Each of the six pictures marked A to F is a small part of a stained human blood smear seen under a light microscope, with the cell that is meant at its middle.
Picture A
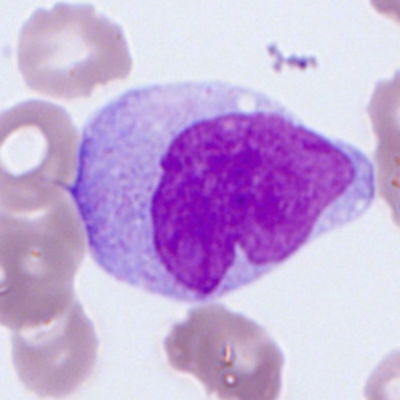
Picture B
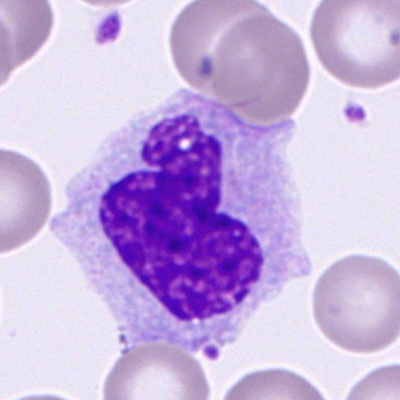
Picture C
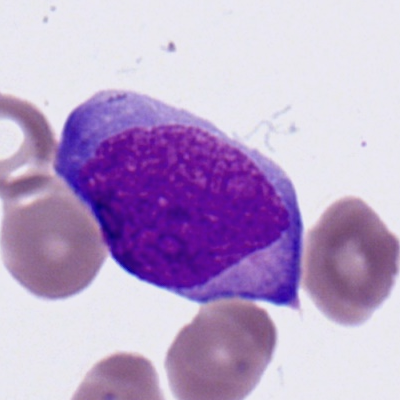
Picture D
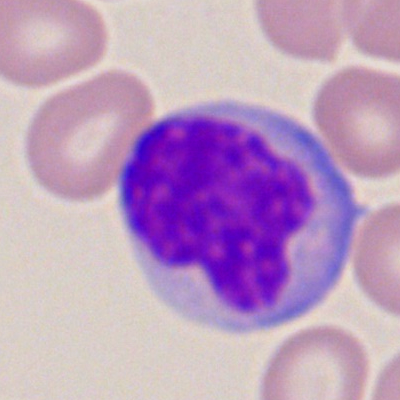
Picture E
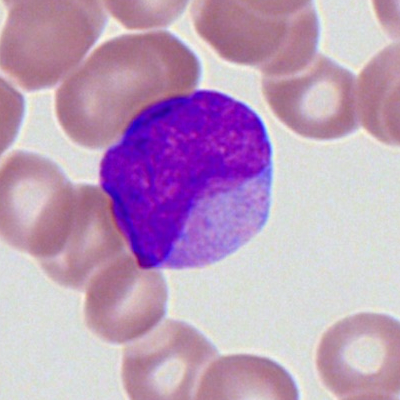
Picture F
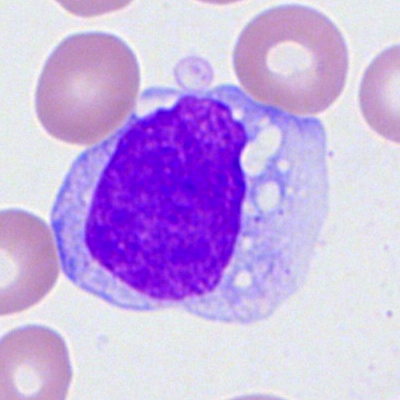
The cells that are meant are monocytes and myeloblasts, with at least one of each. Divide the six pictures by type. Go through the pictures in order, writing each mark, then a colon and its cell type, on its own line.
A: monocyte
B: monocyte
C: myeloblast
D: monocyte
E: myeloblast
F: monocyte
